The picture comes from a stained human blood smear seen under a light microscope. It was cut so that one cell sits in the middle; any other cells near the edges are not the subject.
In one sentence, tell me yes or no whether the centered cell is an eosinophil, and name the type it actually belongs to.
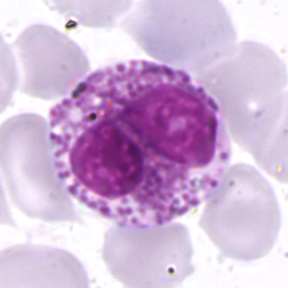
Yes, the cell positioned in the middle is an eosinophil.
